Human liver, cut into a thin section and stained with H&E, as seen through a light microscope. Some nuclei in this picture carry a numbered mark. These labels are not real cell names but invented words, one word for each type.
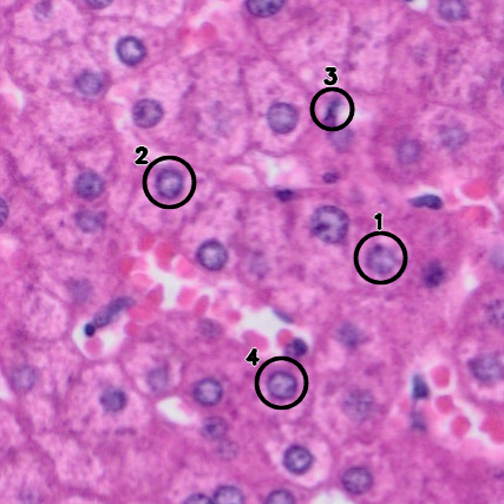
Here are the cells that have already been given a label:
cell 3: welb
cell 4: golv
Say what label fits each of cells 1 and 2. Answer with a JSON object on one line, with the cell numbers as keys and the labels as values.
{"1": "golv", "2": "golv"}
